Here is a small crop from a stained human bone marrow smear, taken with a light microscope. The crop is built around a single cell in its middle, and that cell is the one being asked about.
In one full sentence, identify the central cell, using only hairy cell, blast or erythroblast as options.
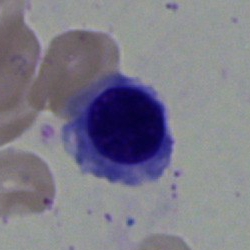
At the center of the crop sits an erythroblast.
